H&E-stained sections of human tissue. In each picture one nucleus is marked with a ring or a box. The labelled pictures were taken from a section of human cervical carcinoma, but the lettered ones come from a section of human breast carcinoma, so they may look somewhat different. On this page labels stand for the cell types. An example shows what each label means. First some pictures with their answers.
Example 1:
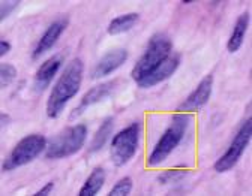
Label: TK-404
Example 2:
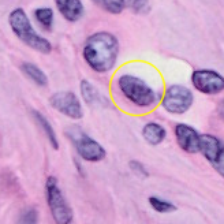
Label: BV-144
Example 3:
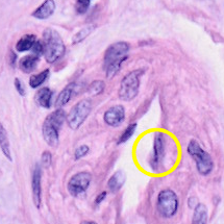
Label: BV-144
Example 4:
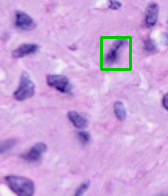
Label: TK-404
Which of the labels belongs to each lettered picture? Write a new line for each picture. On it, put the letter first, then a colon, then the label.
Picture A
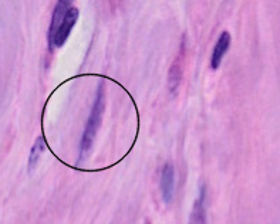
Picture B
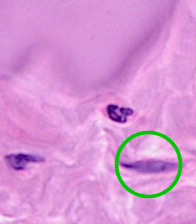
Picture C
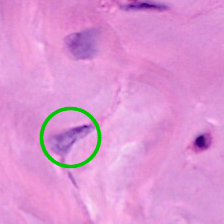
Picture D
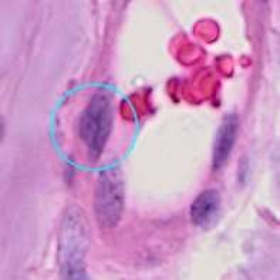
A: TK-404
B: TK-404
C: TK-404
D: BV-144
